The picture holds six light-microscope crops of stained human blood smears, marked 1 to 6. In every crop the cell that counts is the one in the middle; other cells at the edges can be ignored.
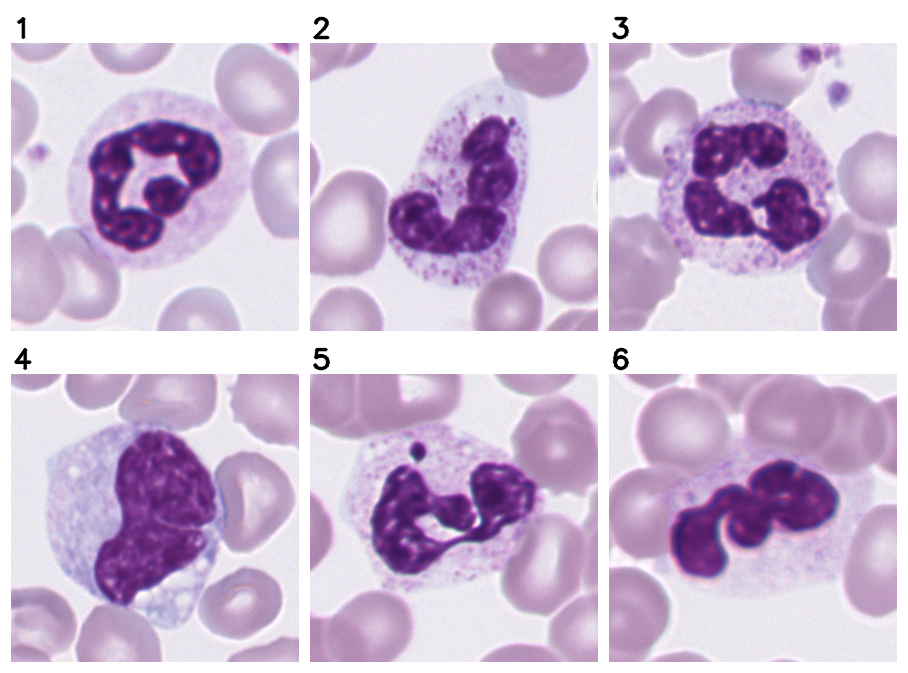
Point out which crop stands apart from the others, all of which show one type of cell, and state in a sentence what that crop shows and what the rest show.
Only in crop 4 is there a monocyte; all other crops show segmented neutrophils.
